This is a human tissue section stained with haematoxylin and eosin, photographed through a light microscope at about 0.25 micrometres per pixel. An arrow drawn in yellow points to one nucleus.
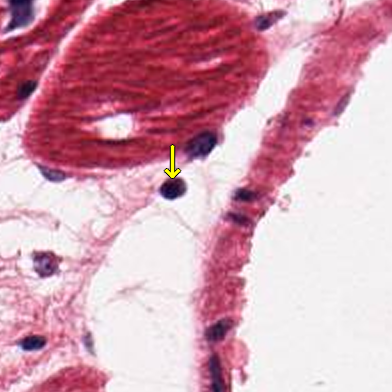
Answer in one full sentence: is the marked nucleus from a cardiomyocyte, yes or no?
No, the marked nucleus is not the nucleus of a cardiomyocyte but of a supporting cell.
